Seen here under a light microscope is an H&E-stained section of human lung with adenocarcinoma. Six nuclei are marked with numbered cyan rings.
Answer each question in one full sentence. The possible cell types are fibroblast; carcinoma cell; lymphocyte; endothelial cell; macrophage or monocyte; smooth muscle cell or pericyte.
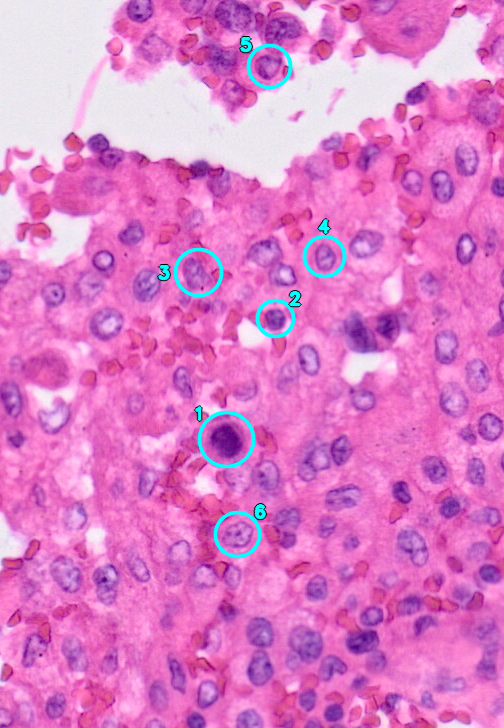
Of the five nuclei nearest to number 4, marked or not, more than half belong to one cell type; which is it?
Macrophages or monocytes account for more than half of the five nuclei nearest to number 4.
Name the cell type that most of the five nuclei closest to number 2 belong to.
Of the five nuclei nearest to number 2, most belong to macrophages or monocytes.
